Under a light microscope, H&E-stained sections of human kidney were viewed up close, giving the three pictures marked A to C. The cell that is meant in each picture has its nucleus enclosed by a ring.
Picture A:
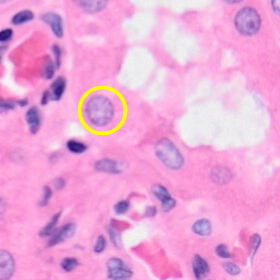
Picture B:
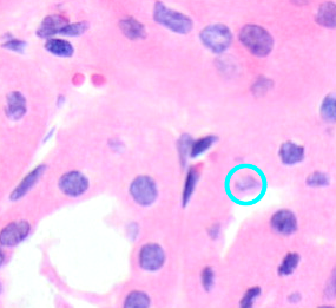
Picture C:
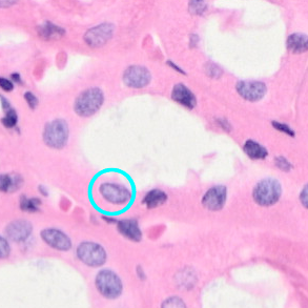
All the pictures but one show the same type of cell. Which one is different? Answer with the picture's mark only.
A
